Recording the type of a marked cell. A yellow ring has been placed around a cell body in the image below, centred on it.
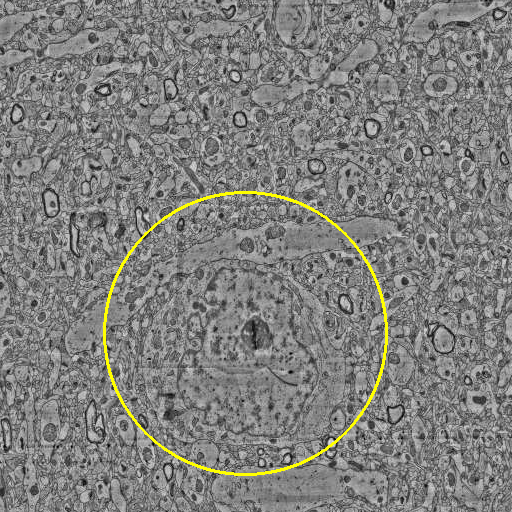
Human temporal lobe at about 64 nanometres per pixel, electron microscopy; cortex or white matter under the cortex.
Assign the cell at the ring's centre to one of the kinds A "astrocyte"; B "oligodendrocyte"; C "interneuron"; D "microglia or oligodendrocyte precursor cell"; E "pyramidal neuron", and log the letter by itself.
C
